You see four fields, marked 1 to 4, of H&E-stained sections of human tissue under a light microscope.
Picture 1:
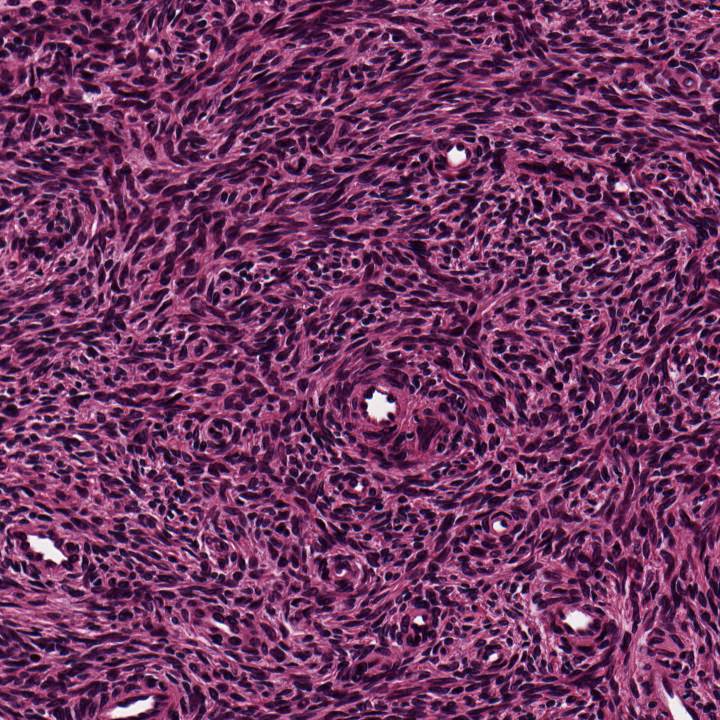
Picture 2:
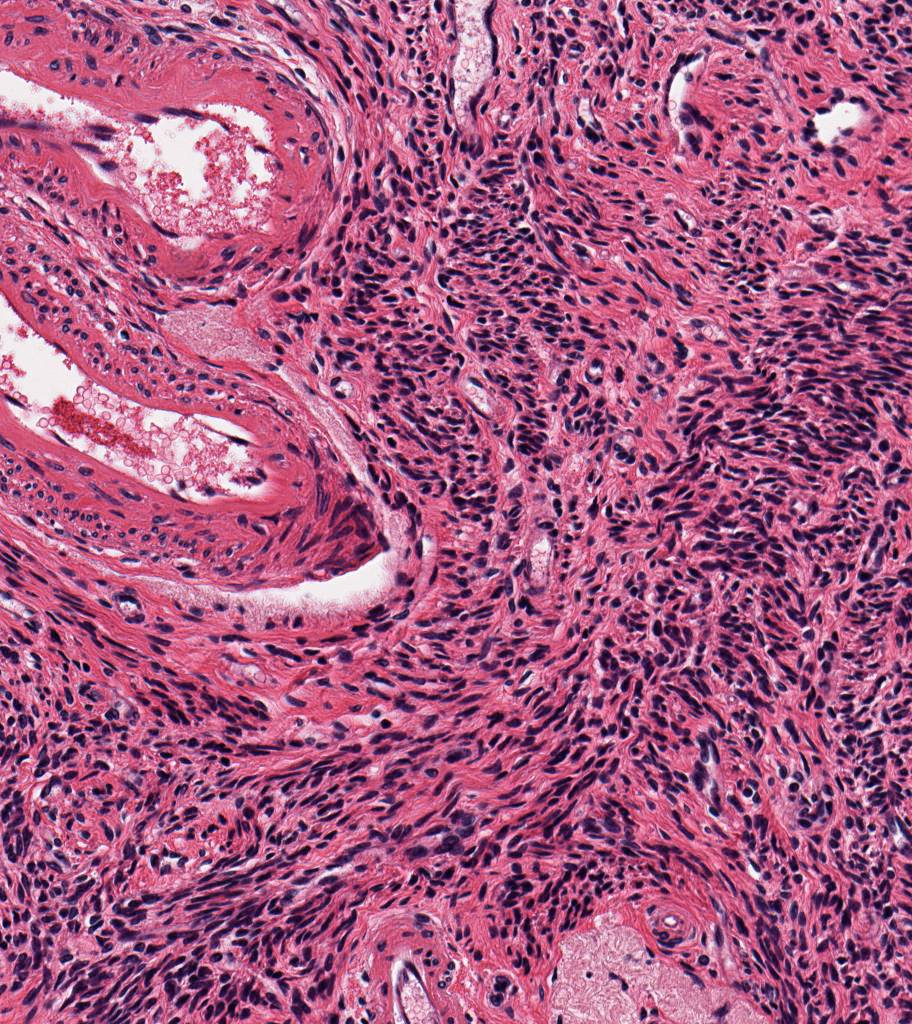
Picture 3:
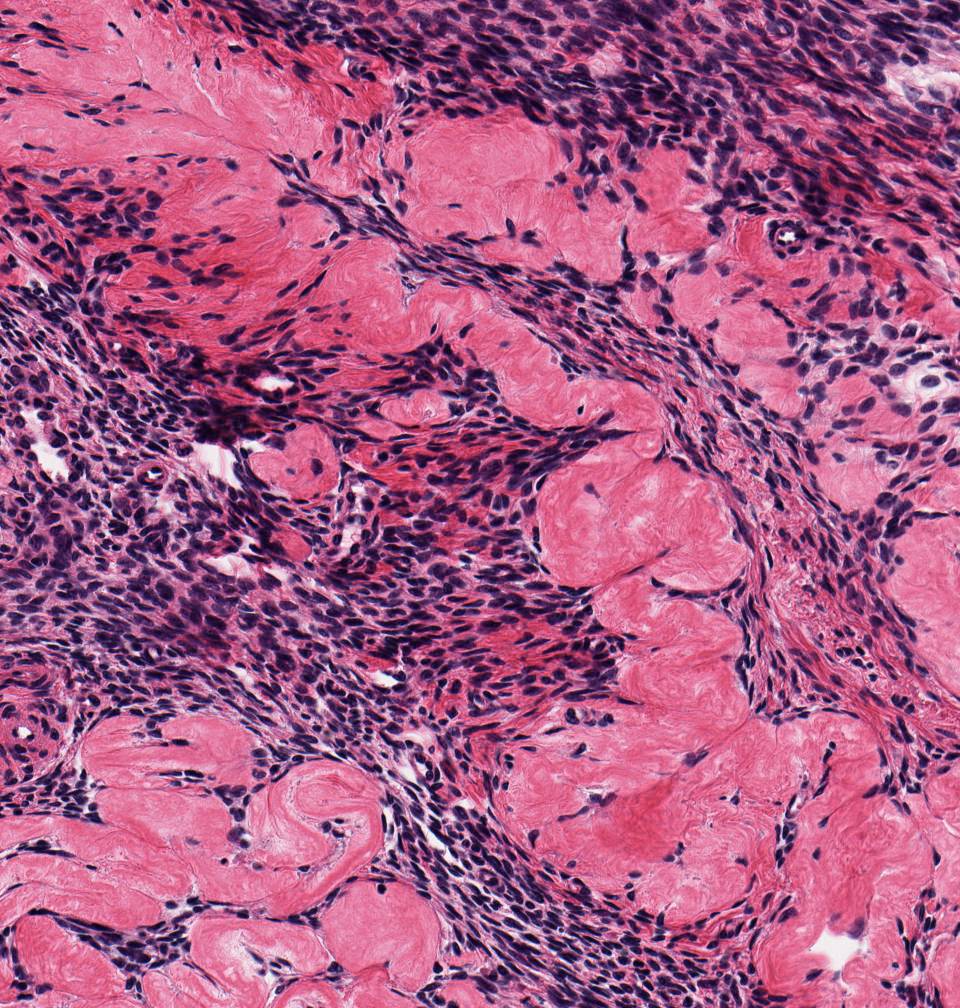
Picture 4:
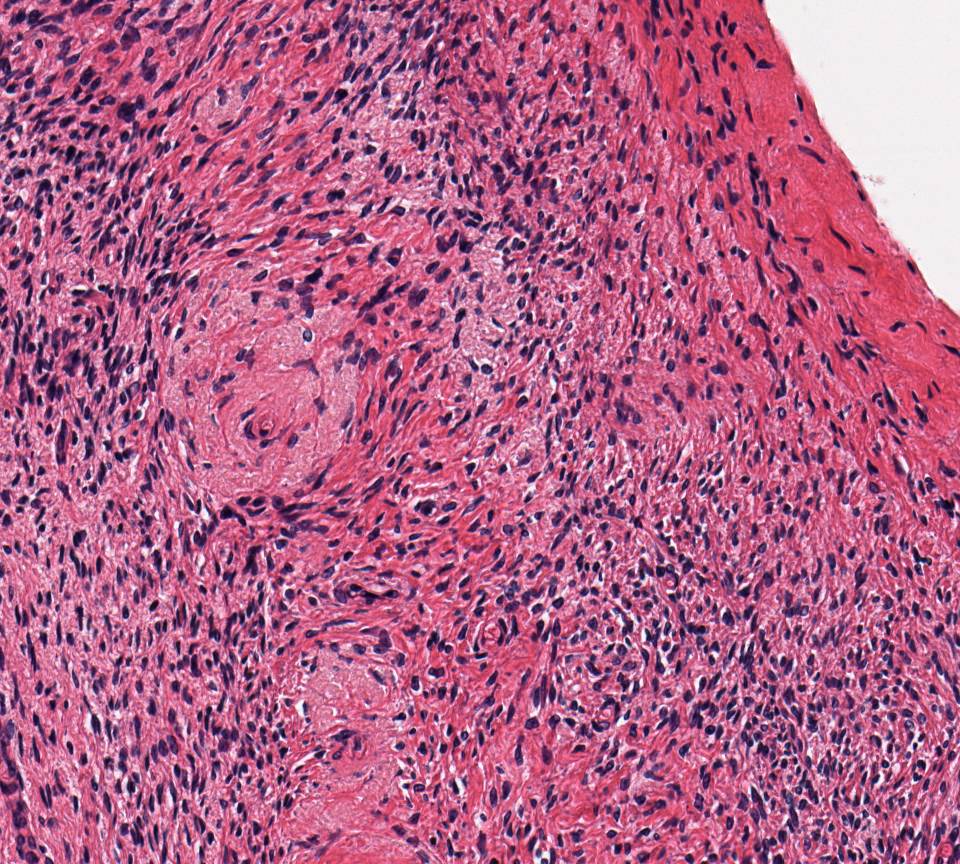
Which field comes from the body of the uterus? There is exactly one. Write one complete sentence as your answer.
Picture 2 comes from the body of the uterus.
